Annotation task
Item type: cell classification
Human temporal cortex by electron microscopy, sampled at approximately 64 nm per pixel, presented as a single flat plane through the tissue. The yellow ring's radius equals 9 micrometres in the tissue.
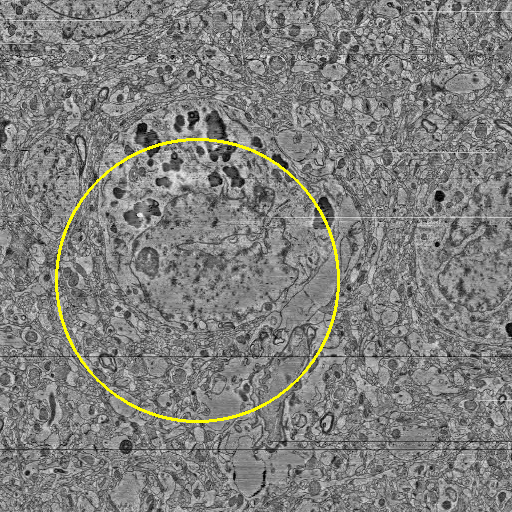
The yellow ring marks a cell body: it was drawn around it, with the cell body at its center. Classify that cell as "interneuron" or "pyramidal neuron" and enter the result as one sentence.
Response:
The ring's center falls on an interneuron.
